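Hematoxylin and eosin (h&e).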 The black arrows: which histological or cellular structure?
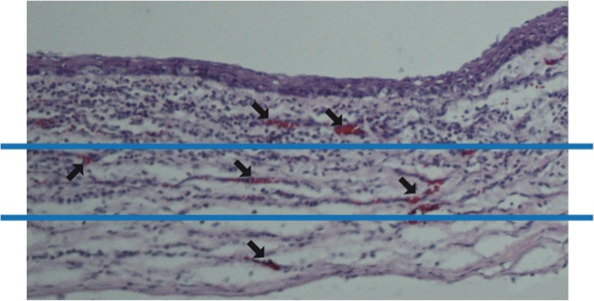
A: Vessels.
